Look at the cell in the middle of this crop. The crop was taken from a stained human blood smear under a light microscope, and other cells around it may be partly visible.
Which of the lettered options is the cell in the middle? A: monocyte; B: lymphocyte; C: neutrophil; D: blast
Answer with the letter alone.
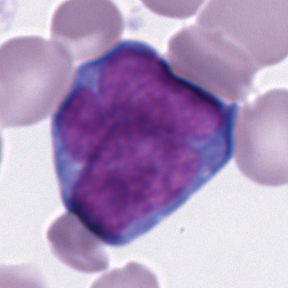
D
